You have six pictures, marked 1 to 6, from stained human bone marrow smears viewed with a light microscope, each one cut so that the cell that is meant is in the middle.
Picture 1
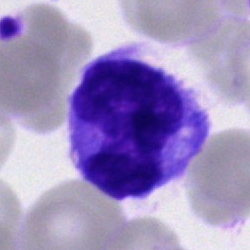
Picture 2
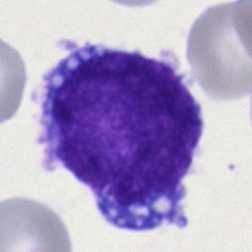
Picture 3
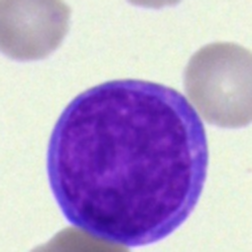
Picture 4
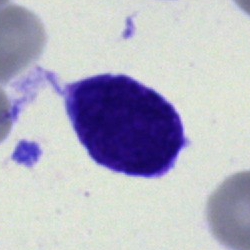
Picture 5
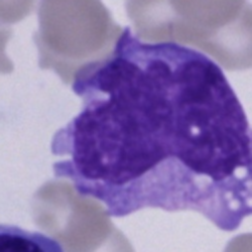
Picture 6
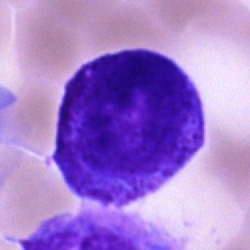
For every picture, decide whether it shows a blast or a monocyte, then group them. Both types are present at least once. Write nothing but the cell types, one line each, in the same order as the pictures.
monocyte
blast
blast
blast
monocyte
blast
